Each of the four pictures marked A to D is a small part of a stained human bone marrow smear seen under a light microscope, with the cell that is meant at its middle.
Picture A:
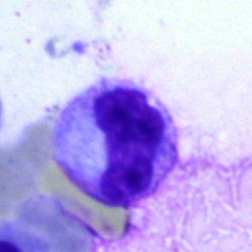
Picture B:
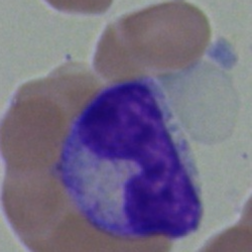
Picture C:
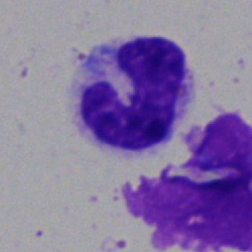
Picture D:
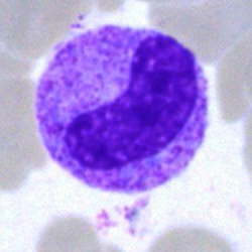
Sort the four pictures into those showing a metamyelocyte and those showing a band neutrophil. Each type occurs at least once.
A: metamyelocyte
B: metamyelocyte
C: band neutrophil
D: band neutrophil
